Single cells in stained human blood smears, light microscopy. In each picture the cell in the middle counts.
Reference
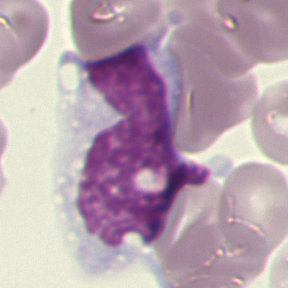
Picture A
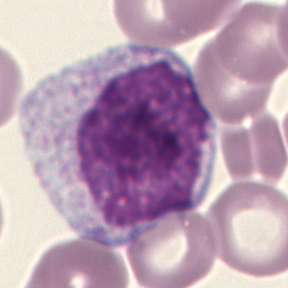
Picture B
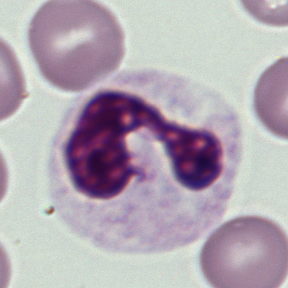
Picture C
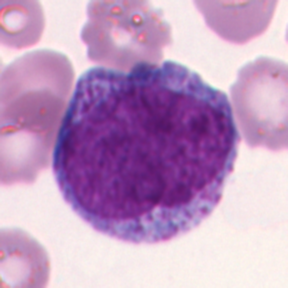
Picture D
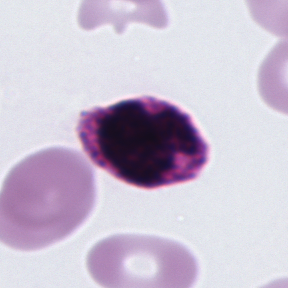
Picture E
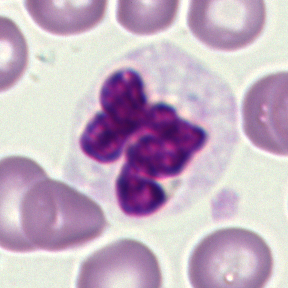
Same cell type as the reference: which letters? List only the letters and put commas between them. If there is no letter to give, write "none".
none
